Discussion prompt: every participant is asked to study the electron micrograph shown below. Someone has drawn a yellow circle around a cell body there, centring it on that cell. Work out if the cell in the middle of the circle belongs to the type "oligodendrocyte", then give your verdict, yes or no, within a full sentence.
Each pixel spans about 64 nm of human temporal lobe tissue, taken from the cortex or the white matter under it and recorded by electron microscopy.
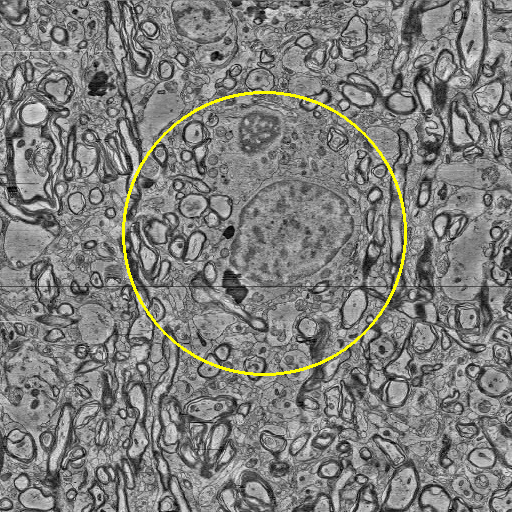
Yes, my verdict is that the cell in the circle's centre is of that type.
